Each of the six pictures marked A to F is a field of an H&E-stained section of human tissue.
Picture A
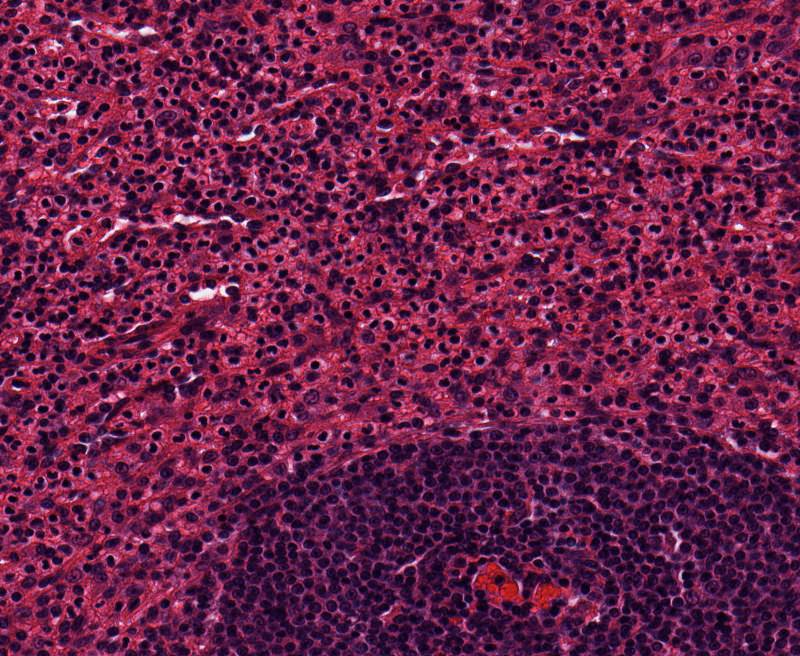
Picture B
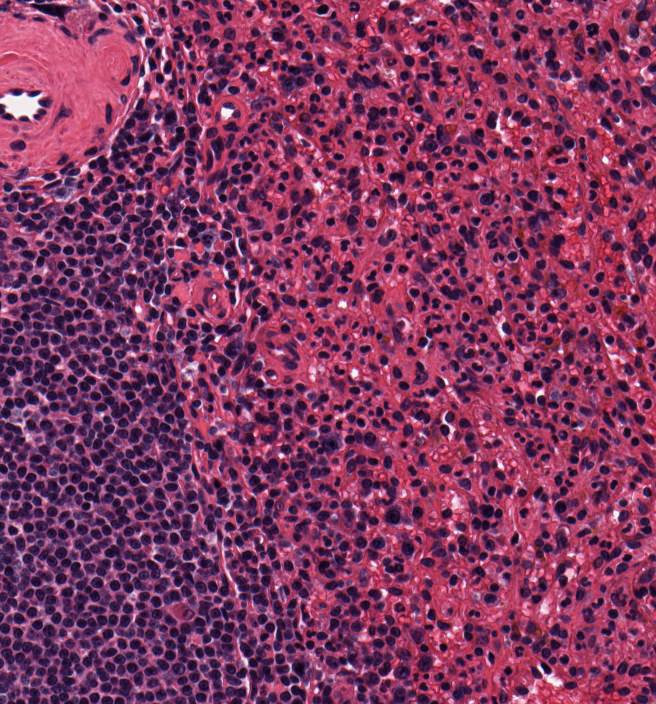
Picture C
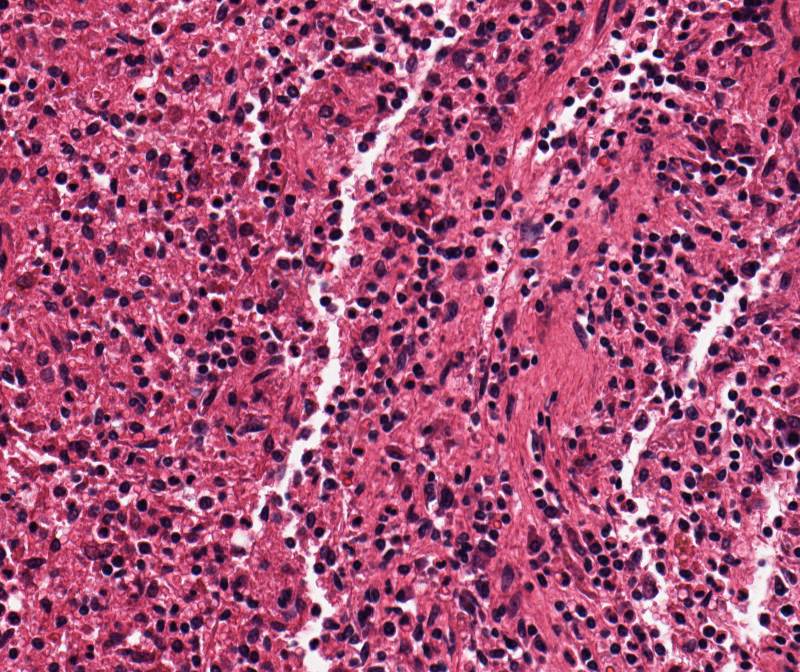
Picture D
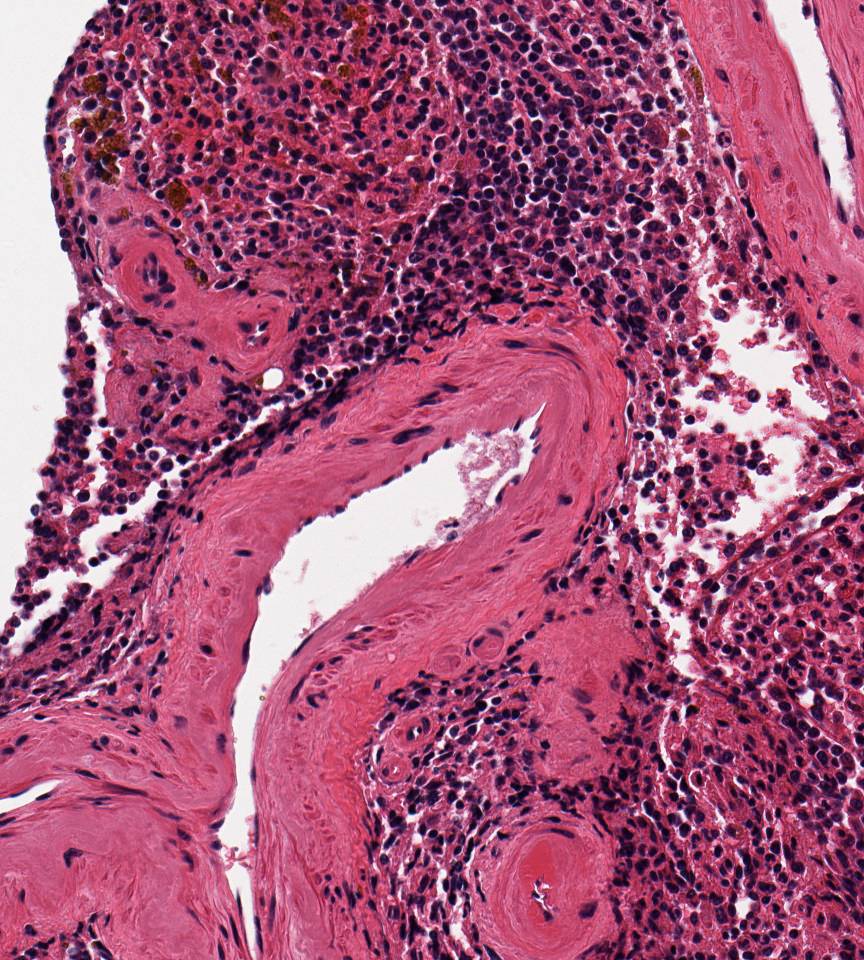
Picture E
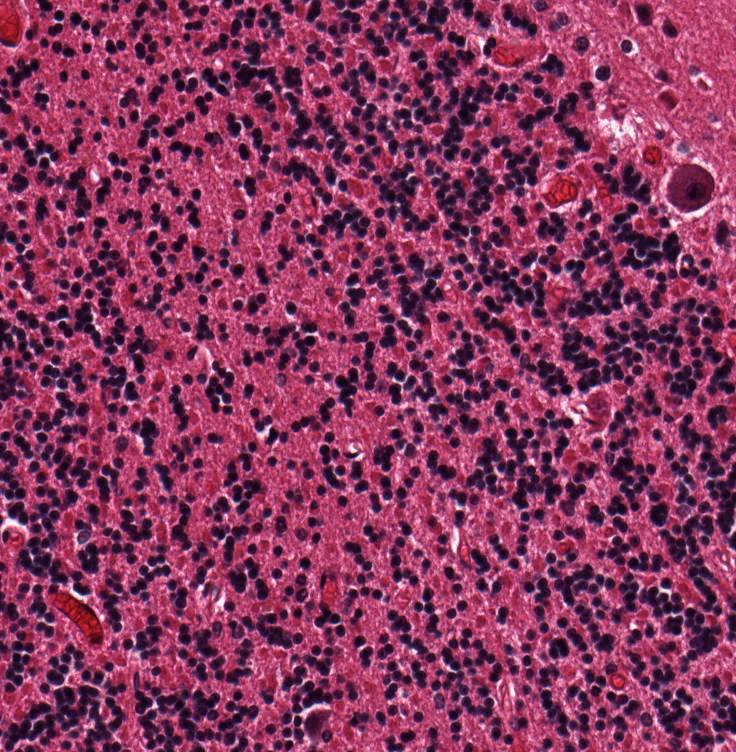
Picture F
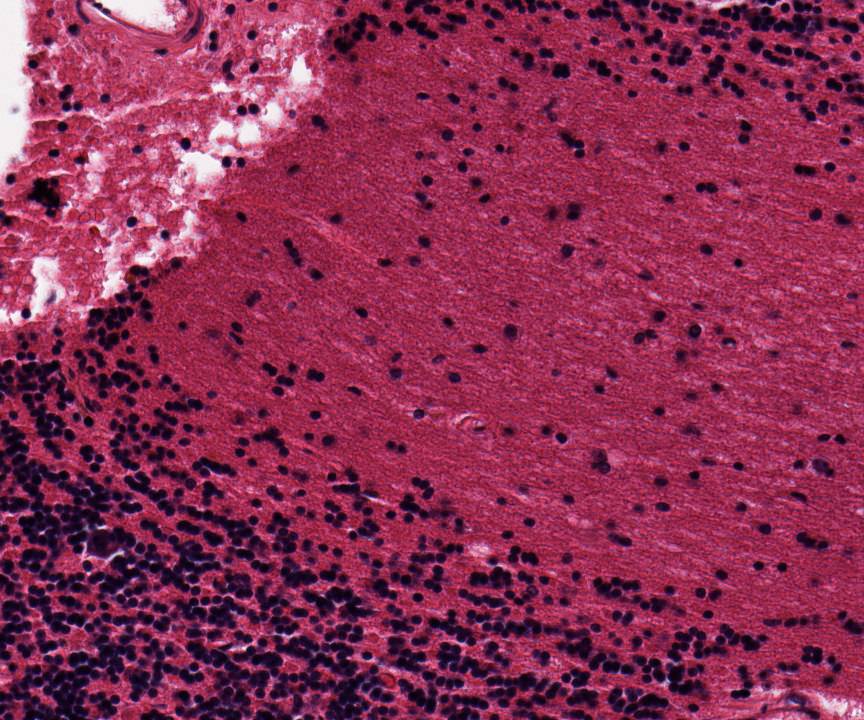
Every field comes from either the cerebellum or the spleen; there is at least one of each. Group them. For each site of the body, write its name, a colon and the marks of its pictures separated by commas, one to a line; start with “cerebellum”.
cerebellum: E, F
spleen: A, B, C, D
